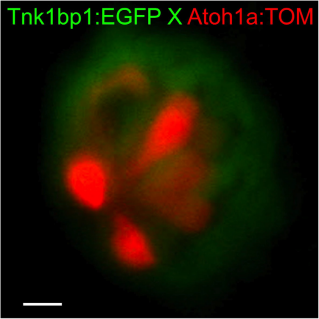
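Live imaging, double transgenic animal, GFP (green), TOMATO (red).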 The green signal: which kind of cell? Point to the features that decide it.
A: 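Green fluorescence forms a rounded envelope around the red central cells.
Conclusion: accessory cells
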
